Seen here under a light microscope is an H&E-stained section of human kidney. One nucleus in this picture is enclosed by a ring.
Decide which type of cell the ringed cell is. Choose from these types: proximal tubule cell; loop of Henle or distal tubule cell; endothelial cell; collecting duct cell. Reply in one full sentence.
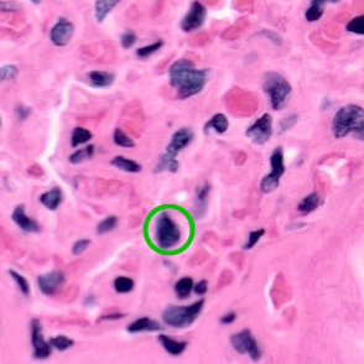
The category to which the ringed cell belongs is that of an endothelial cell.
